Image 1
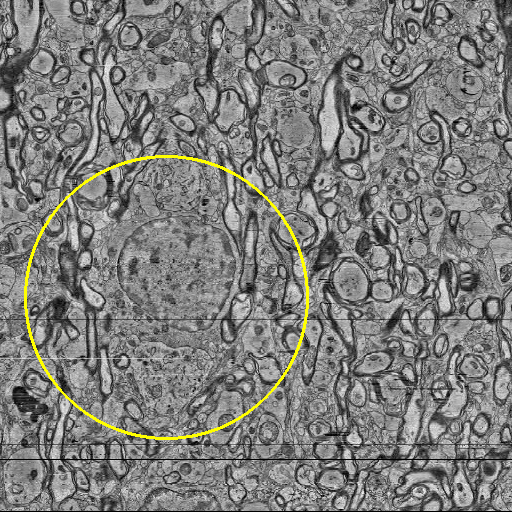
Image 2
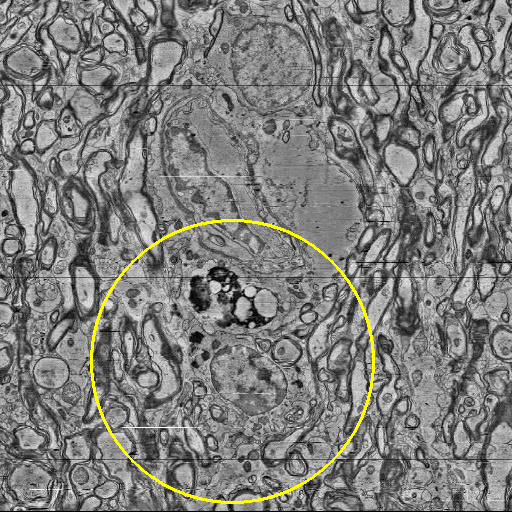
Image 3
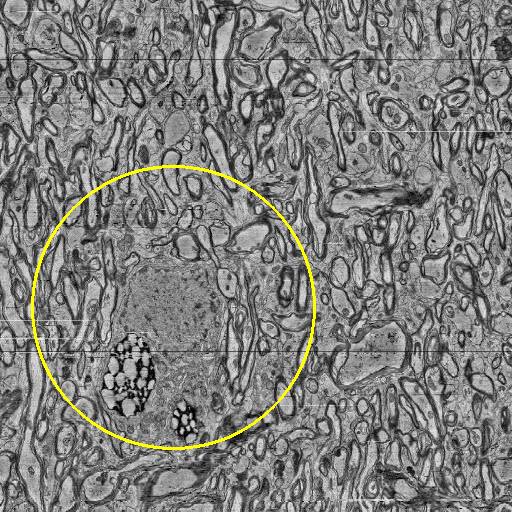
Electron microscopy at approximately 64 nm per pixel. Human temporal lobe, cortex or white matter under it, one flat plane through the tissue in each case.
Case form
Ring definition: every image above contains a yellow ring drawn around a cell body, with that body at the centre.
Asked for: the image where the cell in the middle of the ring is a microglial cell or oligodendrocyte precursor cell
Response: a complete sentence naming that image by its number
Image 2 is the one.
